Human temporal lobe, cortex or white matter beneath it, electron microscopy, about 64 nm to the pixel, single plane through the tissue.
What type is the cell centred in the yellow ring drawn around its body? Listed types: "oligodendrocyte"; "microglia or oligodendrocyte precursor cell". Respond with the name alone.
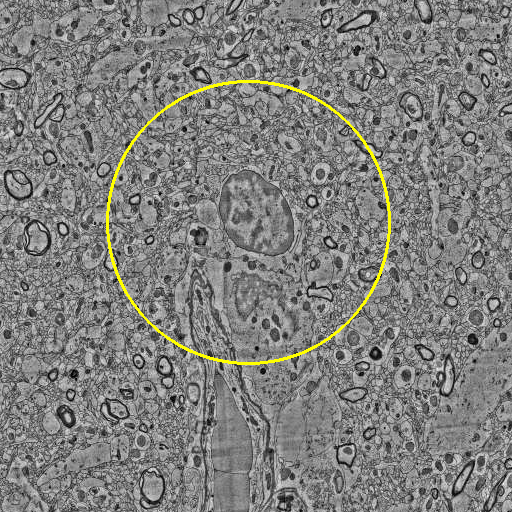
microglia or oligodendrocyte precursor cell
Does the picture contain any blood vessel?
Yes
